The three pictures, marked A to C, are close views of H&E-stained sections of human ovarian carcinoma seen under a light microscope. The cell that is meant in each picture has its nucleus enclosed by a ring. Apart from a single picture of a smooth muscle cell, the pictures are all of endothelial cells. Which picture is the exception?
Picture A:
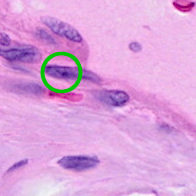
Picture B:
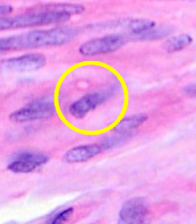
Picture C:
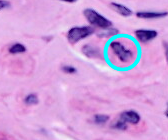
B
